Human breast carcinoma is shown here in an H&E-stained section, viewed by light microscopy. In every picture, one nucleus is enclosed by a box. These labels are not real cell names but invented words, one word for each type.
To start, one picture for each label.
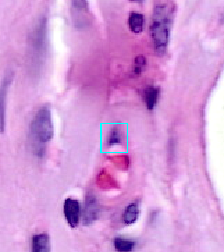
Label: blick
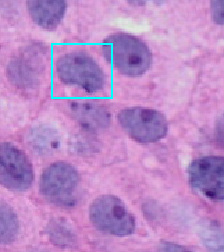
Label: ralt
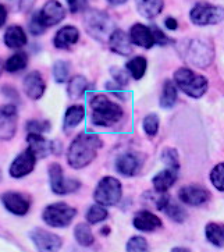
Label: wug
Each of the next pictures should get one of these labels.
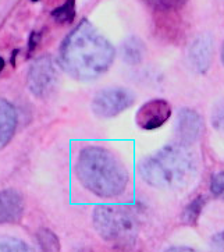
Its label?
ralt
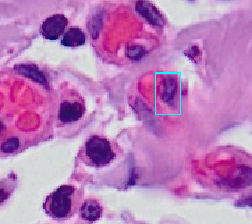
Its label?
blick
